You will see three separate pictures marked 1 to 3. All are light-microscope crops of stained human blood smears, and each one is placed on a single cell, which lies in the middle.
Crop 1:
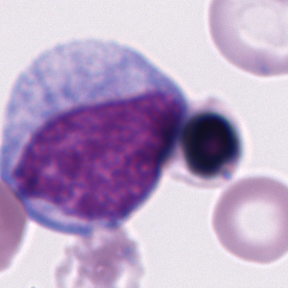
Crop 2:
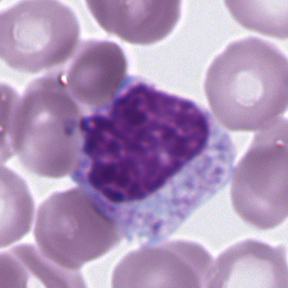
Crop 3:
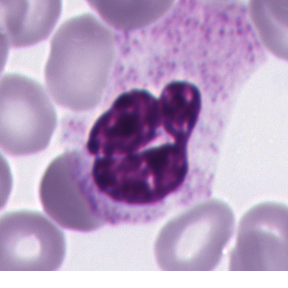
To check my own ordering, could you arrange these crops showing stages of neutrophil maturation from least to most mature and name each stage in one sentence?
Starting with the least mature and ending with the most mature, the order is crop 1 (a promyelocyte), crop 2 (a myelocyte) and crop 3 (a segmented neutrophil).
